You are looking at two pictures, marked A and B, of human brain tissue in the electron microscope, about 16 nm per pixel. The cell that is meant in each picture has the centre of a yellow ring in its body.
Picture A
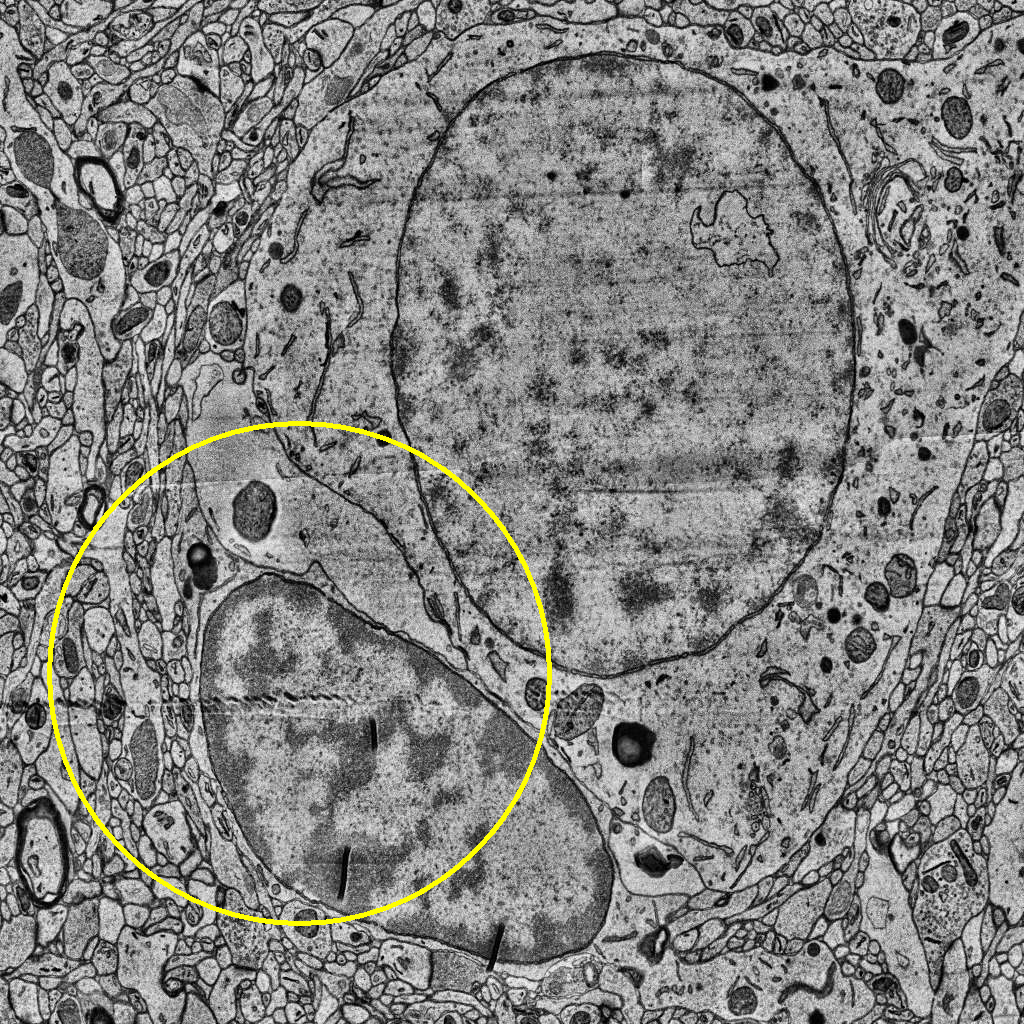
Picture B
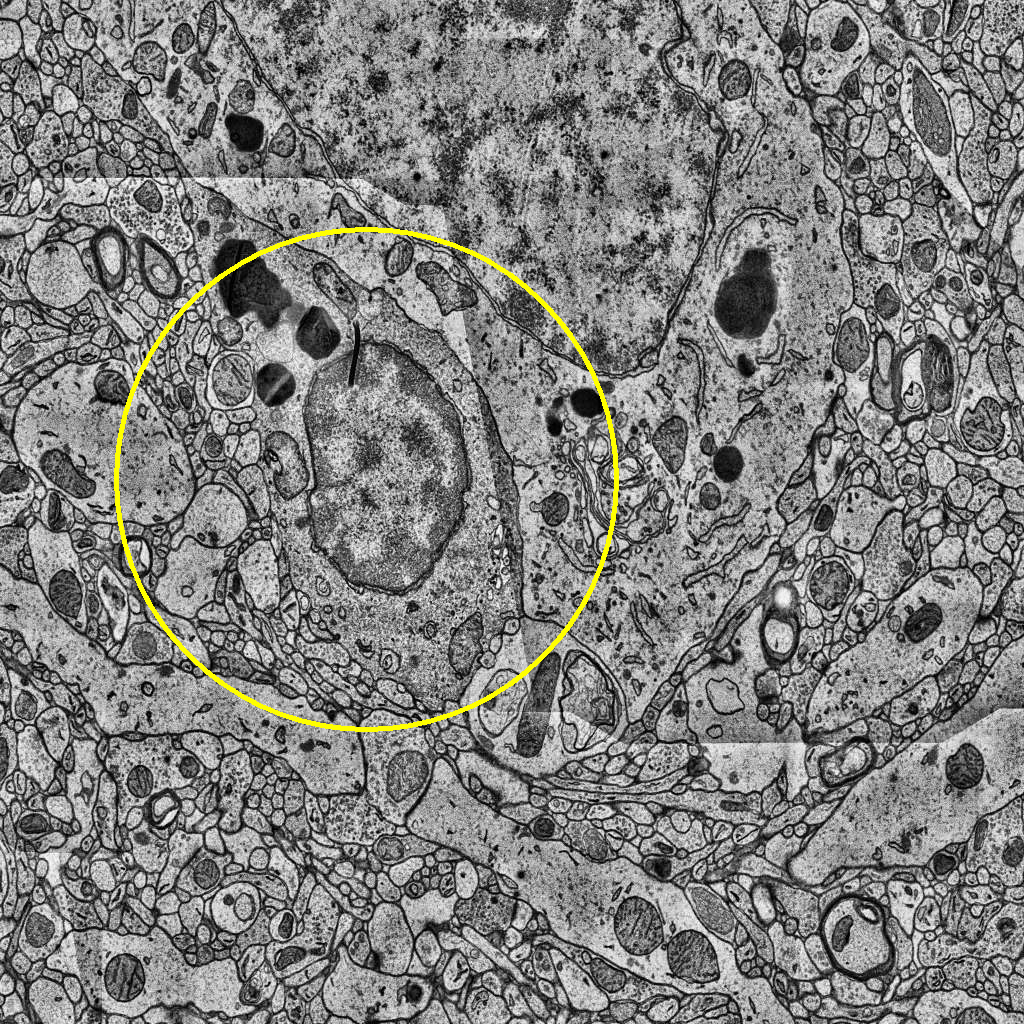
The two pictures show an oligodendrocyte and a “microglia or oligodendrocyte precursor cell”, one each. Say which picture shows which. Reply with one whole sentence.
It is picture A that shows a “microglia or oligodendrocyte precursor cell”, and picture B that shows an oligodendrocyte.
